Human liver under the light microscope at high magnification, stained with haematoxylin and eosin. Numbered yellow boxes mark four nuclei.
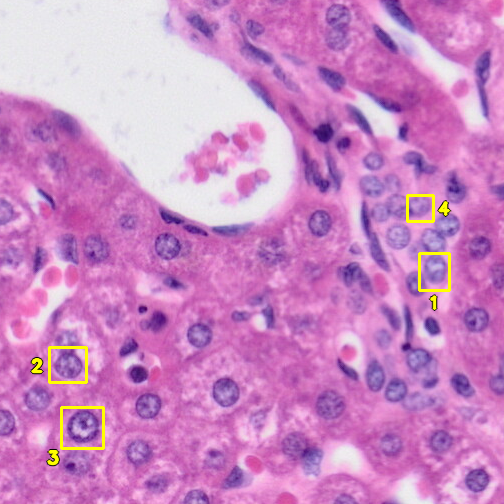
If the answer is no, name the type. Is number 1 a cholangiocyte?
Yes.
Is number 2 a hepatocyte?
Yes.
